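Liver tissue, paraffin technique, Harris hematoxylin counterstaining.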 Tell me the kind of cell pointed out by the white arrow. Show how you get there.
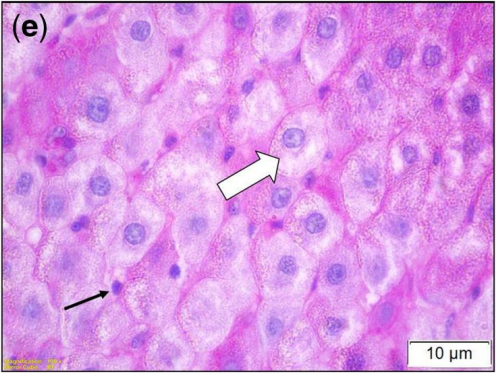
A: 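Hepatocytes. Large polygonal cells packed in plates. Each has a round central blue nucleus. Cytoplasm filled with fine magenta granules.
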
